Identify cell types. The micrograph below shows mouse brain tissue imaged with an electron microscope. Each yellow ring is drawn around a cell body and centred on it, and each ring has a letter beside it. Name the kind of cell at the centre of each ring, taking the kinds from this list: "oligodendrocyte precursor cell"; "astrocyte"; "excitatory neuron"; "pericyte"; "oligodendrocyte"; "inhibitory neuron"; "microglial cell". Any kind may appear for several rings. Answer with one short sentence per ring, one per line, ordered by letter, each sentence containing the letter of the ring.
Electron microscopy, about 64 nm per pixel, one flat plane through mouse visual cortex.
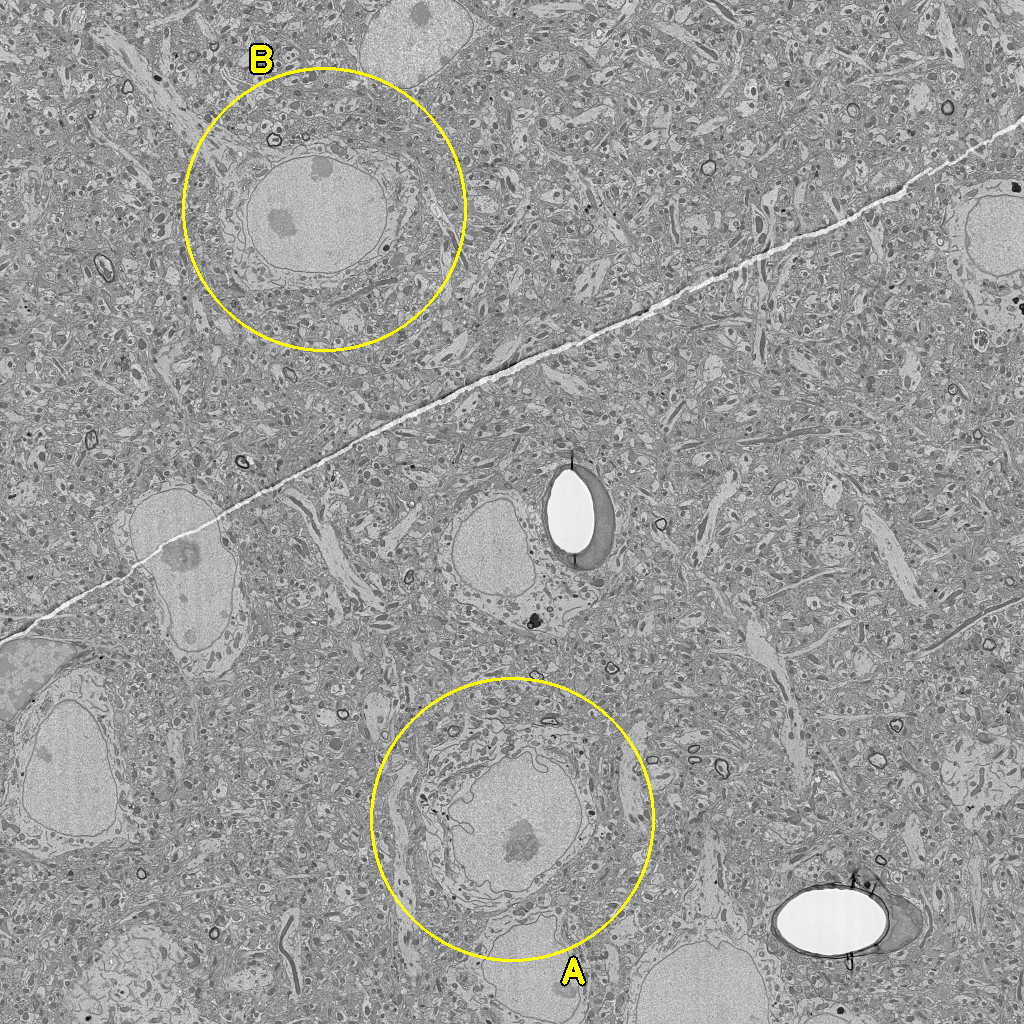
Ring A marks an inhibitory neuron.
Ring B marks an excitatory neuron.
